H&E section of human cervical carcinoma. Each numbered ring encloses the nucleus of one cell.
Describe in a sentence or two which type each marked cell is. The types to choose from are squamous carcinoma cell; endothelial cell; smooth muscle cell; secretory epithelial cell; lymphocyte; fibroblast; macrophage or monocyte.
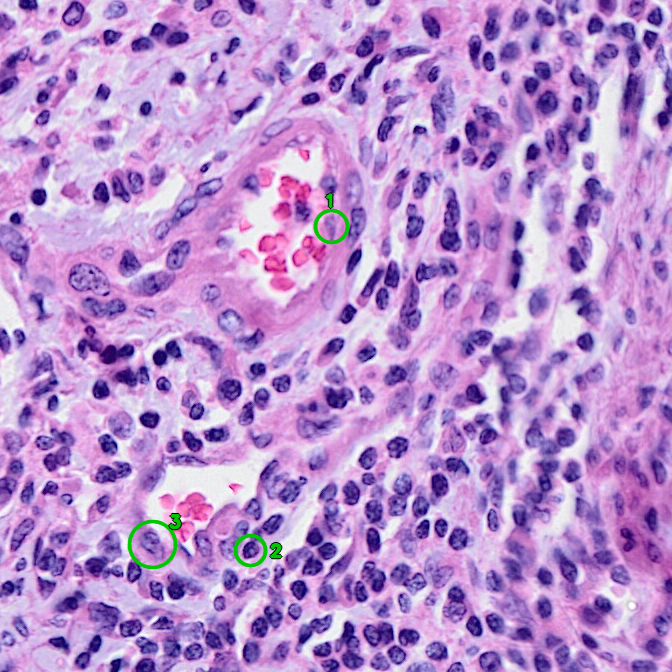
Cells 1 and 3 are endothelial cells. Cell 2 is a lymphocyte.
